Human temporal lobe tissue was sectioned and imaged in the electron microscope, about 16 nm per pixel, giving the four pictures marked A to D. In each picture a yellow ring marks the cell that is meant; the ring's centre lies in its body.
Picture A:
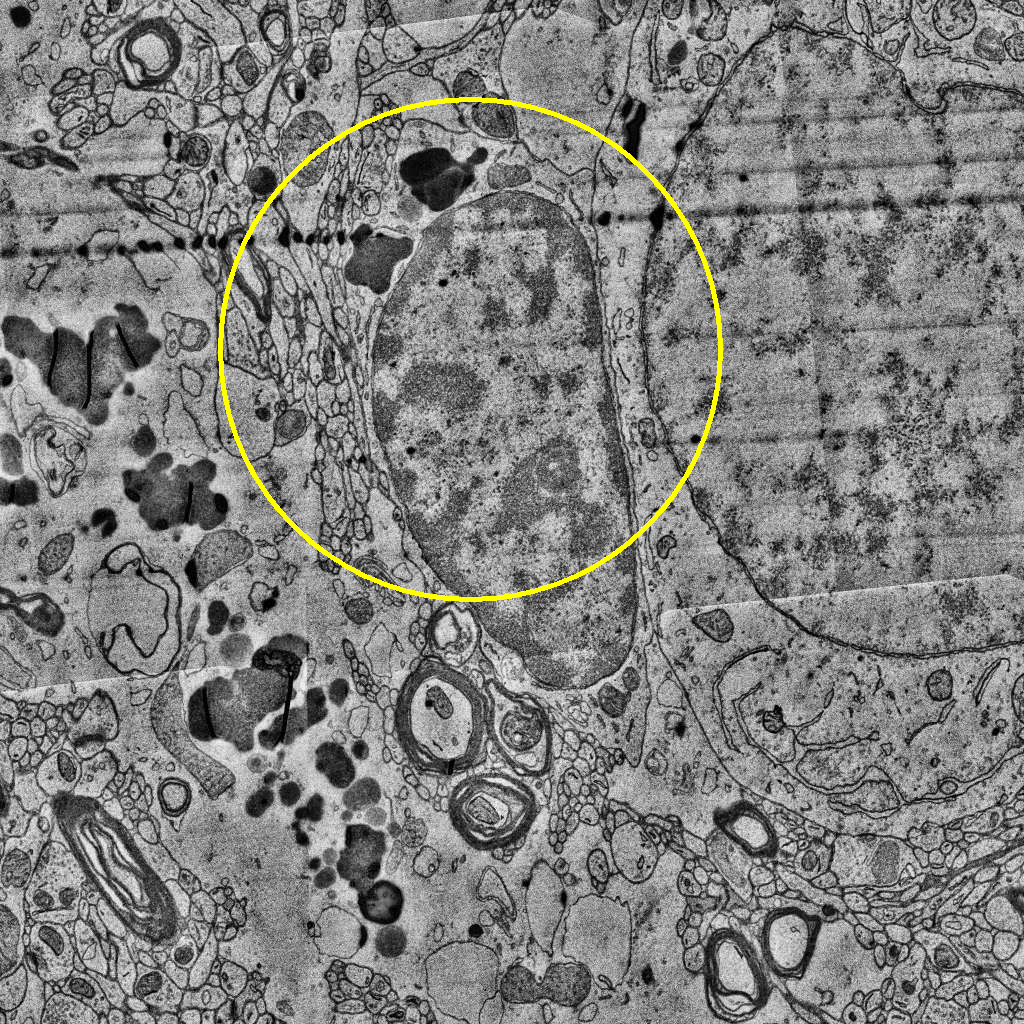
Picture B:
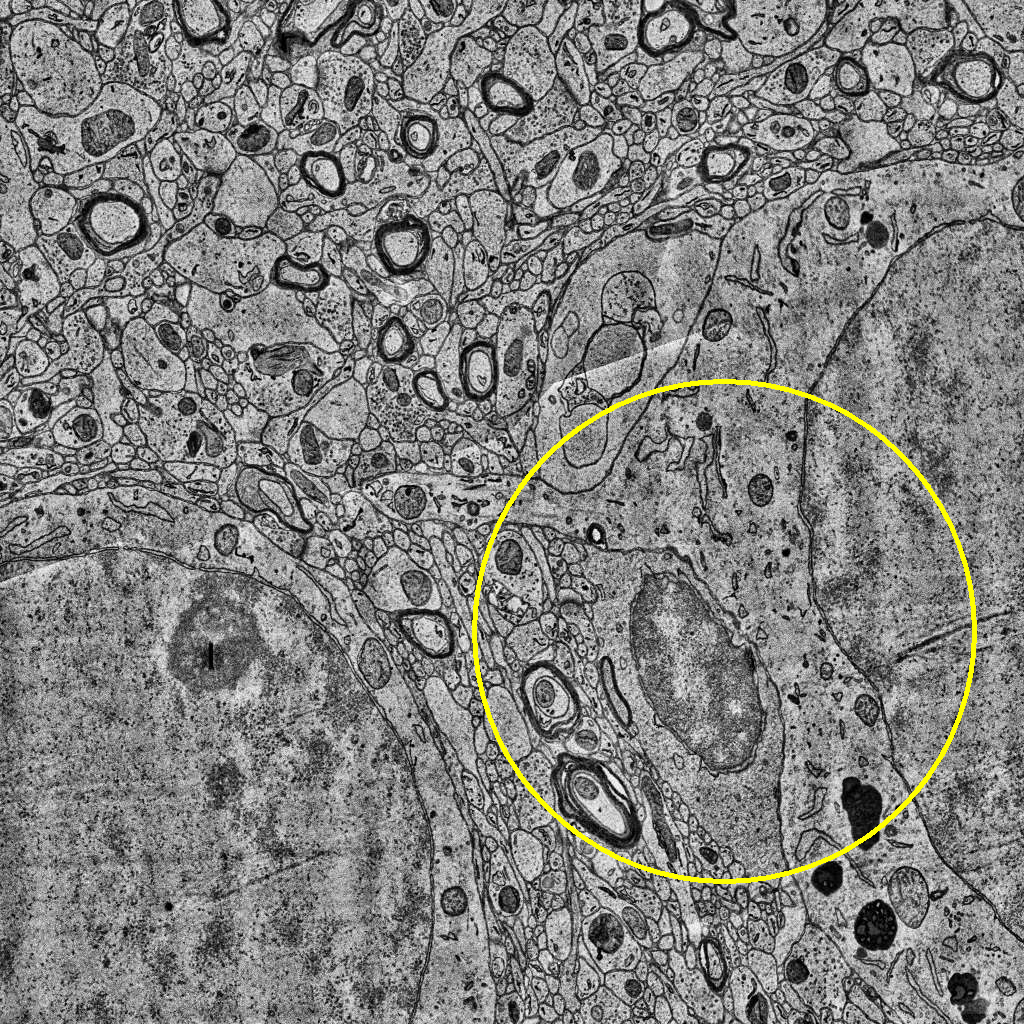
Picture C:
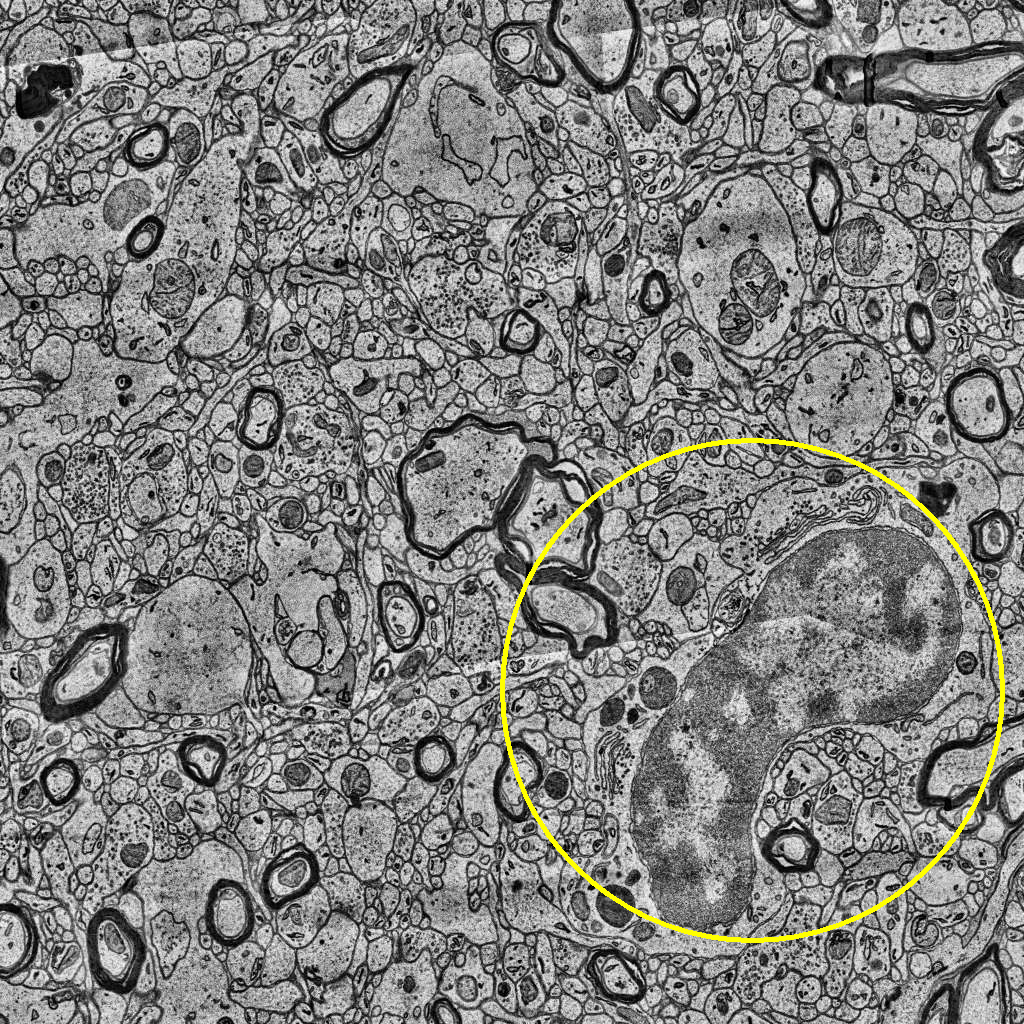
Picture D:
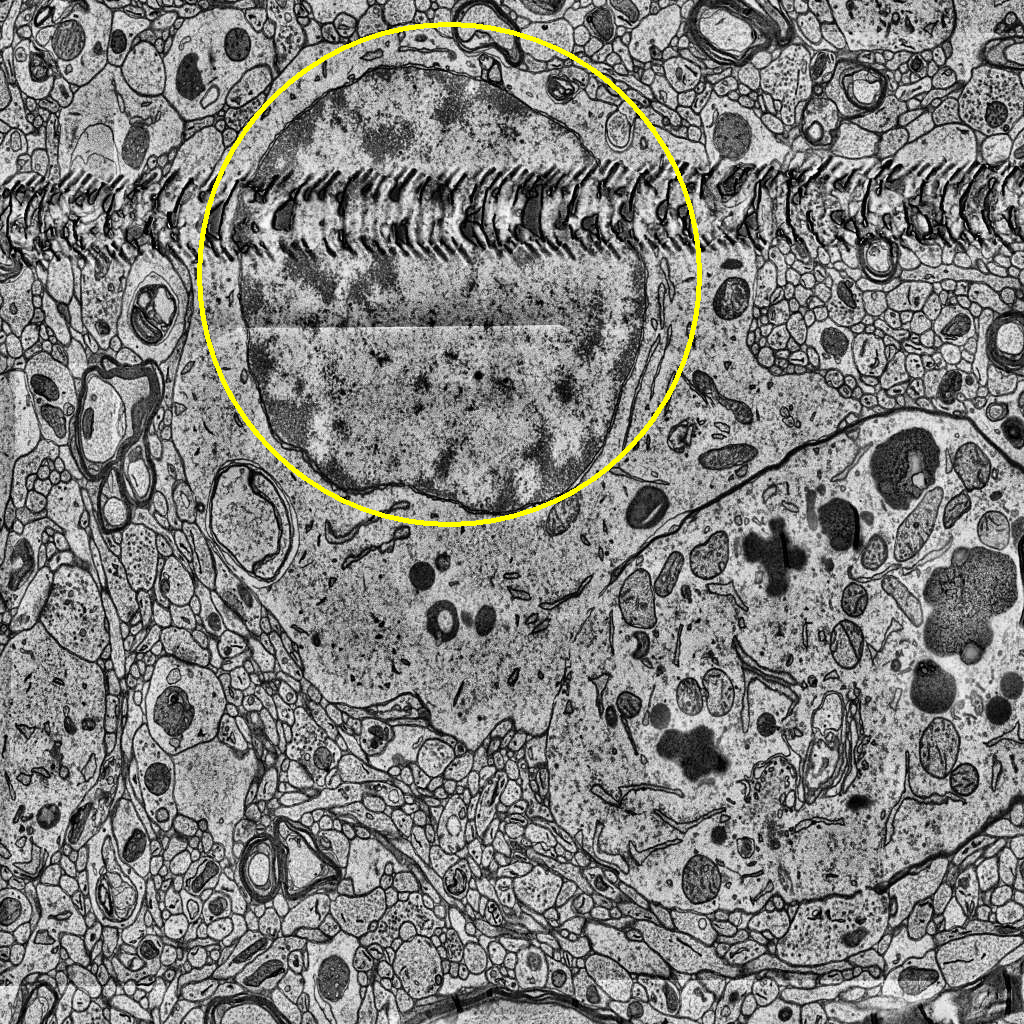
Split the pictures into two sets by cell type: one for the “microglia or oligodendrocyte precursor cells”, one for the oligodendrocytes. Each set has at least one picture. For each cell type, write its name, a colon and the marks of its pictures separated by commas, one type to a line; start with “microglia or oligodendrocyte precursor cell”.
microglia or oligodendrocyte precursor cell: A, C, D
oligodendrocyte: B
